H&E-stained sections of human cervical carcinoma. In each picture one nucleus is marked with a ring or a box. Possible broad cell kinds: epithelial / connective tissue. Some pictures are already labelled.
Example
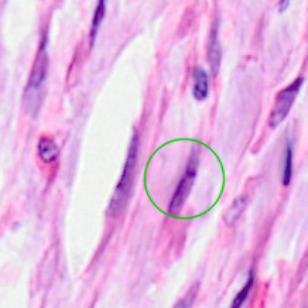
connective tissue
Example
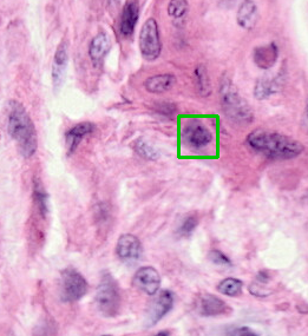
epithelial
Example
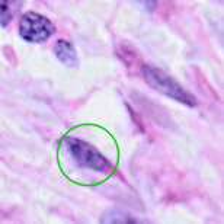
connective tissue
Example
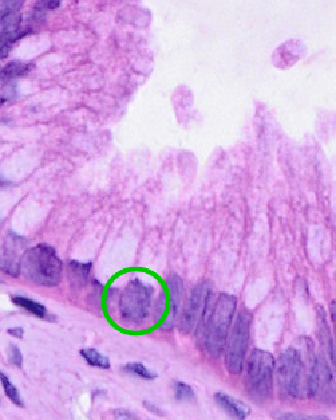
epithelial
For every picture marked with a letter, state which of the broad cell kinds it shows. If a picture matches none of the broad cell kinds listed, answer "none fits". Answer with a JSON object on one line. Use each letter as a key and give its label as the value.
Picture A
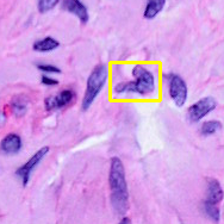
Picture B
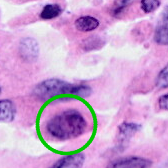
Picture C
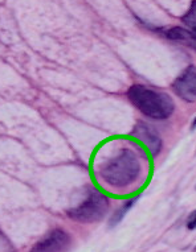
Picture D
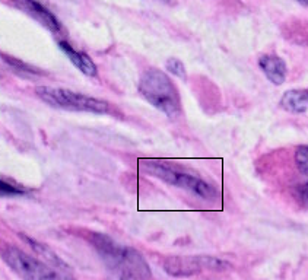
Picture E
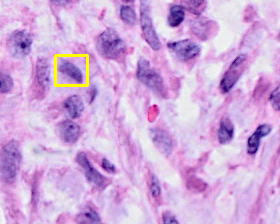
{"A": "none fits", "B": "epithelial", "C": "epithelial", "D": "connective tissue", "E": "connective tissue"}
